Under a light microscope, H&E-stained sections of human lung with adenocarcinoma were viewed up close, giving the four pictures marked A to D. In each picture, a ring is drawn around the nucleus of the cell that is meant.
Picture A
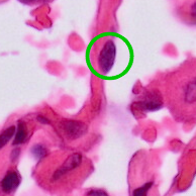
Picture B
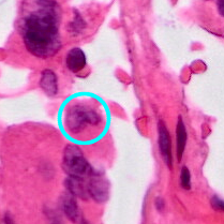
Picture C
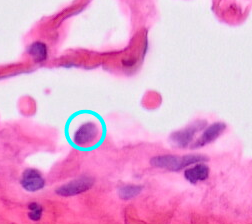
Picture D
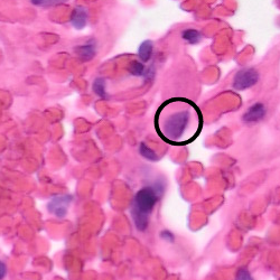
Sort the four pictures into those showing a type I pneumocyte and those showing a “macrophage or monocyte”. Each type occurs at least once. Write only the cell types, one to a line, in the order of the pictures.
type I pneumocyte
macrophage or monocyte
type I pneumocyte
type I pneumocyte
